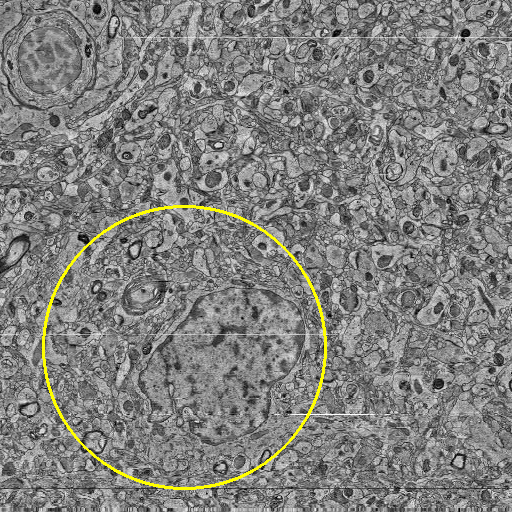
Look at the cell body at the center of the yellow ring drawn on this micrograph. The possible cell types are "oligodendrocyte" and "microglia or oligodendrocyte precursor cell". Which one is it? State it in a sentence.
The cell in the middle of the ring is a microglial cell or oligodendrocyte precursor cell.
